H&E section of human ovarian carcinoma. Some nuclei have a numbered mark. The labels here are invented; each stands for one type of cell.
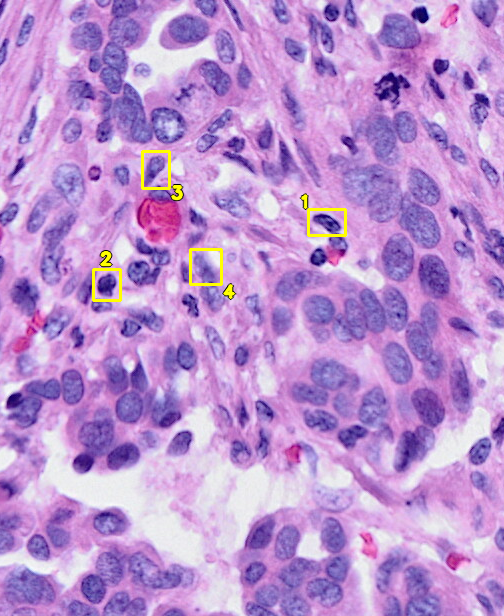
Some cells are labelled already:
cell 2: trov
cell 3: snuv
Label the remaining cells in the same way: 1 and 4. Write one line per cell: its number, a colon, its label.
1: trov
4: snuv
